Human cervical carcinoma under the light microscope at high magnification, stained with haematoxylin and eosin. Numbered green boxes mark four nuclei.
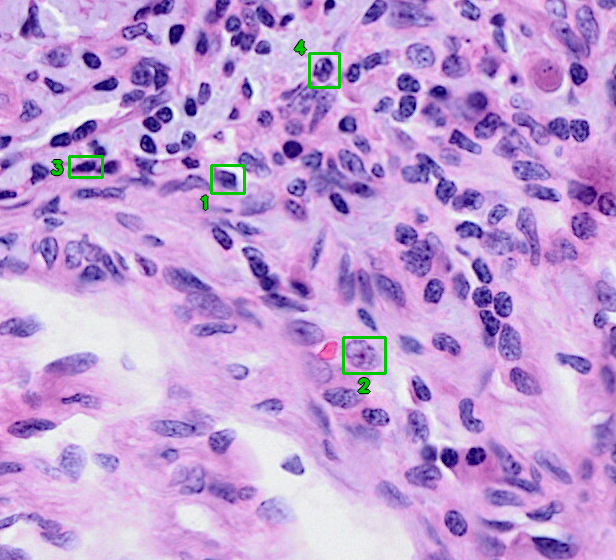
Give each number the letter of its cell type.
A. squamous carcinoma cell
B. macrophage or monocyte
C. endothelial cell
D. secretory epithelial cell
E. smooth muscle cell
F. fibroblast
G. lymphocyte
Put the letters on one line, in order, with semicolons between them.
G; C; G; G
